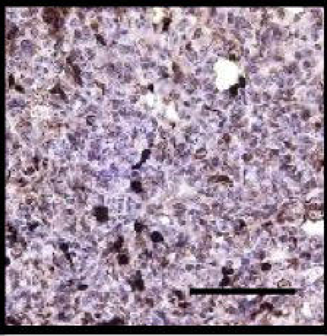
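A few small round clear spaces interrupt the sheet of cells. The tissue has no glandular or layered organization; cells lie packed together in a diffuse sheet.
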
